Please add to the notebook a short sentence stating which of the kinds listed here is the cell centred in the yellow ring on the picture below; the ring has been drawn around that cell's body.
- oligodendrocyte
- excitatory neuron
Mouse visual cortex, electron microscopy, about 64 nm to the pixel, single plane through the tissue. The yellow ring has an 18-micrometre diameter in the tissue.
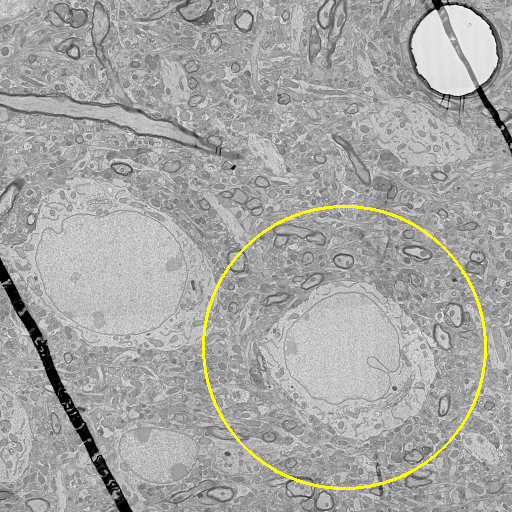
The cell centred in the yellow ring is an excitatory neuron.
